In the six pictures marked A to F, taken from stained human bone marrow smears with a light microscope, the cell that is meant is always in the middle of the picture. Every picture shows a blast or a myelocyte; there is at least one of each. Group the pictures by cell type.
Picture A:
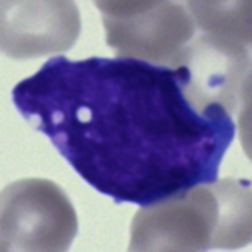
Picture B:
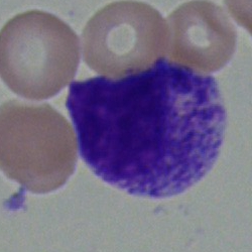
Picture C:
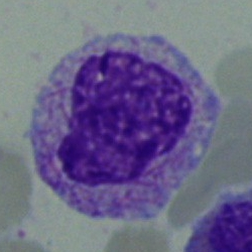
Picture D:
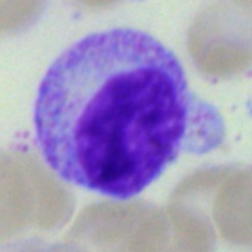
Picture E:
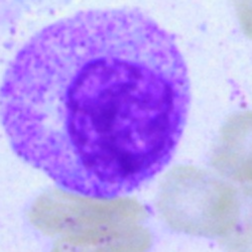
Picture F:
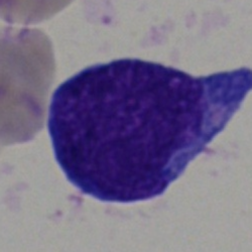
A: blast
B: myelocyte
C: myelocyte
D: myelocyte
E: myelocyte
F: blast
